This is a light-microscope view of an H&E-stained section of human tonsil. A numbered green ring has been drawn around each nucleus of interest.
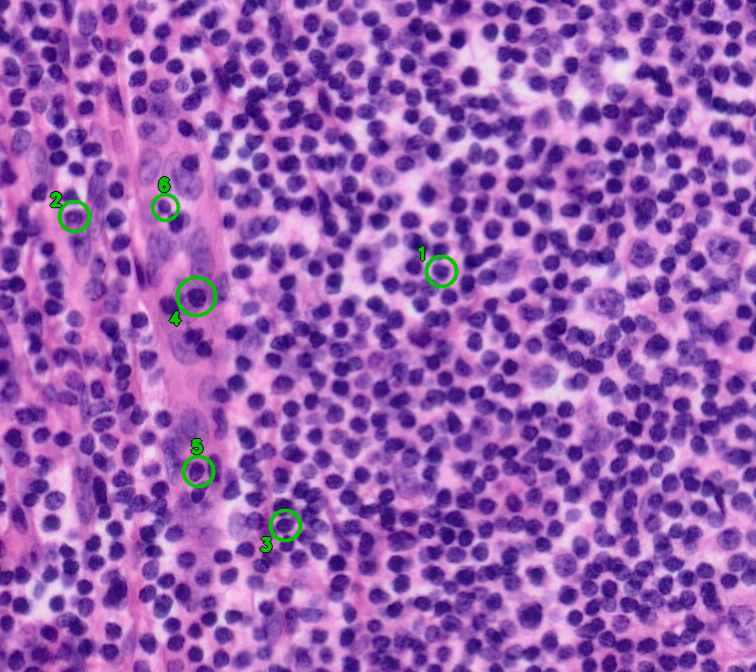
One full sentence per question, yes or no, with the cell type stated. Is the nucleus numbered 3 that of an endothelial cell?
No, the marked cell 3 is not an endothelial cell, being instead a small lymphocyte.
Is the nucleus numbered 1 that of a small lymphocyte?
Yes, the nucleus numbered 1 belongs to a small lymphocyte.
